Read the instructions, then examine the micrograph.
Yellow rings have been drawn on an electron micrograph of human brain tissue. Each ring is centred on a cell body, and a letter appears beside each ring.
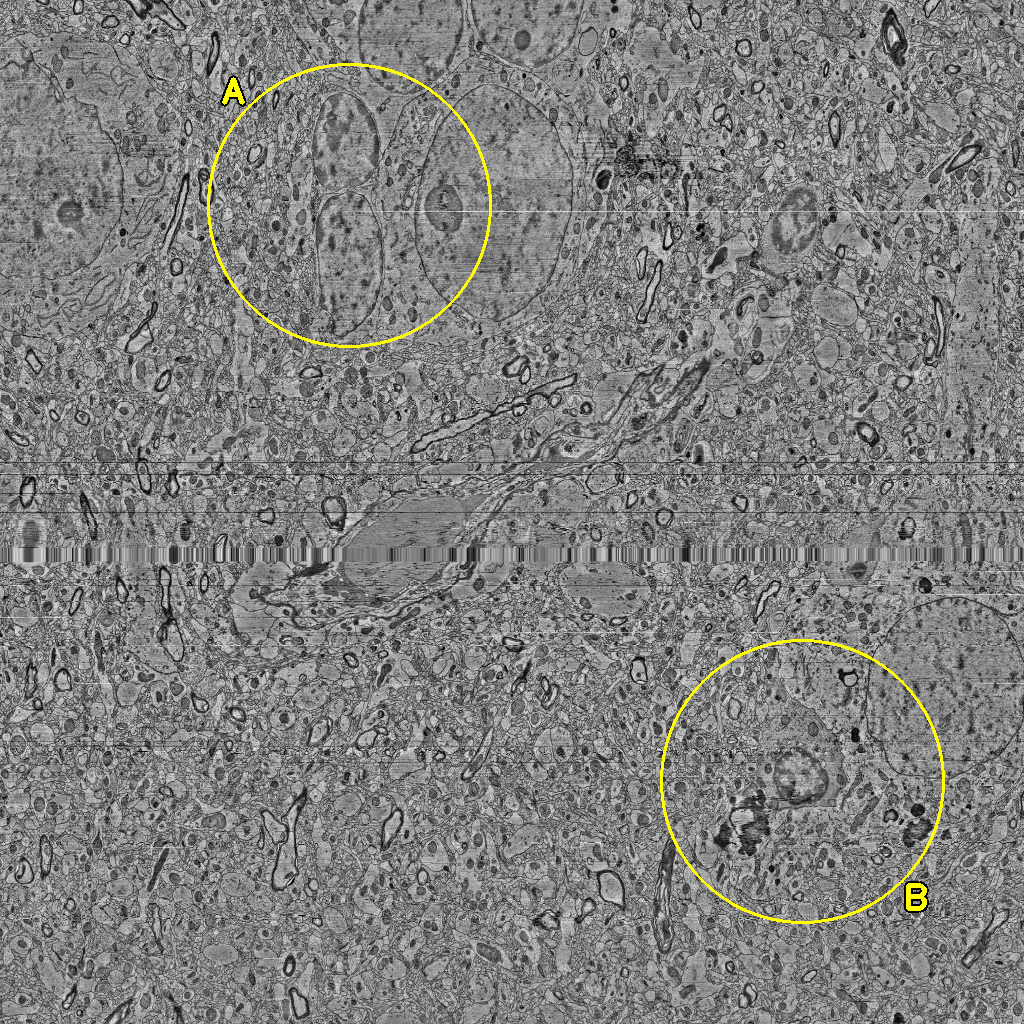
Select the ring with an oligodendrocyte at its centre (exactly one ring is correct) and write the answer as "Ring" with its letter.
Ring B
